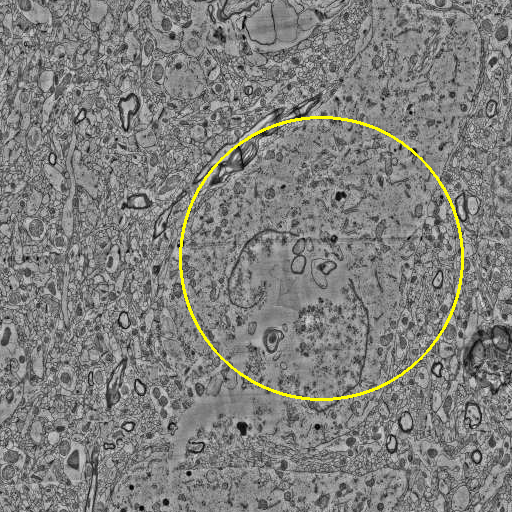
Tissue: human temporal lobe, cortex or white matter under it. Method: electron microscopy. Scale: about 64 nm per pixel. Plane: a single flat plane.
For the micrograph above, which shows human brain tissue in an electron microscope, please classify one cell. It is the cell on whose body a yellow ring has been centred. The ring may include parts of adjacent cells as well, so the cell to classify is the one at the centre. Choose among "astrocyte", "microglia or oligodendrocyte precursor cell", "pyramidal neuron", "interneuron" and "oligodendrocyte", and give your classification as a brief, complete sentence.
I classify this cell as a pyramidal neuron.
